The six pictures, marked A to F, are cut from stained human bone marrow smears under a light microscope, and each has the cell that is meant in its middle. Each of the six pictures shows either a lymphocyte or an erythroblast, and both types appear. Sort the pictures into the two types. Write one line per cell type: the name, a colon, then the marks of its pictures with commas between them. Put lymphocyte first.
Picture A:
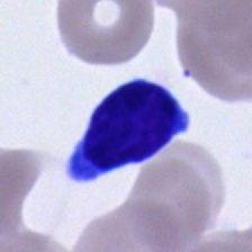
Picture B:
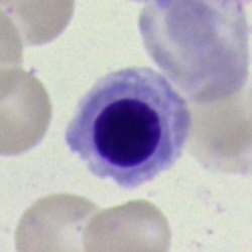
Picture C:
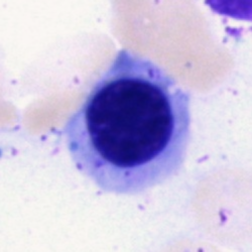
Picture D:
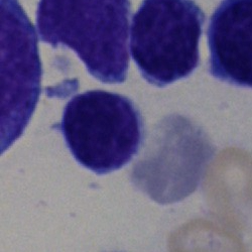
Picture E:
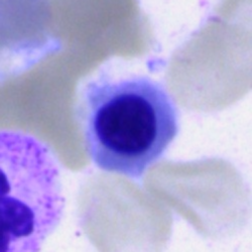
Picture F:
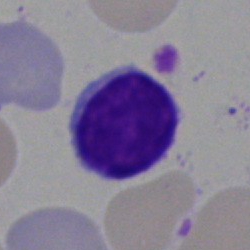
lymphocyte: A, D, F
erythroblast: B, C, E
